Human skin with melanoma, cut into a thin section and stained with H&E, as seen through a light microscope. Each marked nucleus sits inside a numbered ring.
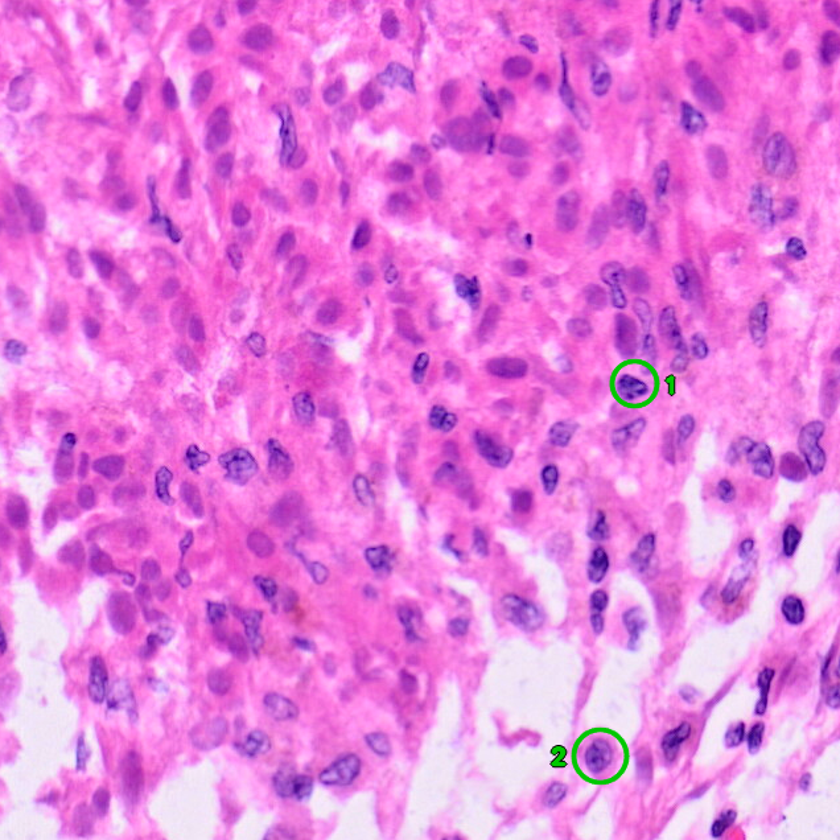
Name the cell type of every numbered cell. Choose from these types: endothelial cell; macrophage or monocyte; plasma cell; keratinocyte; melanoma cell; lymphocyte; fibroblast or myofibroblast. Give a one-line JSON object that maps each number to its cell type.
{"1": "lymphocyte", "2": "macrophage or monocyte"}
